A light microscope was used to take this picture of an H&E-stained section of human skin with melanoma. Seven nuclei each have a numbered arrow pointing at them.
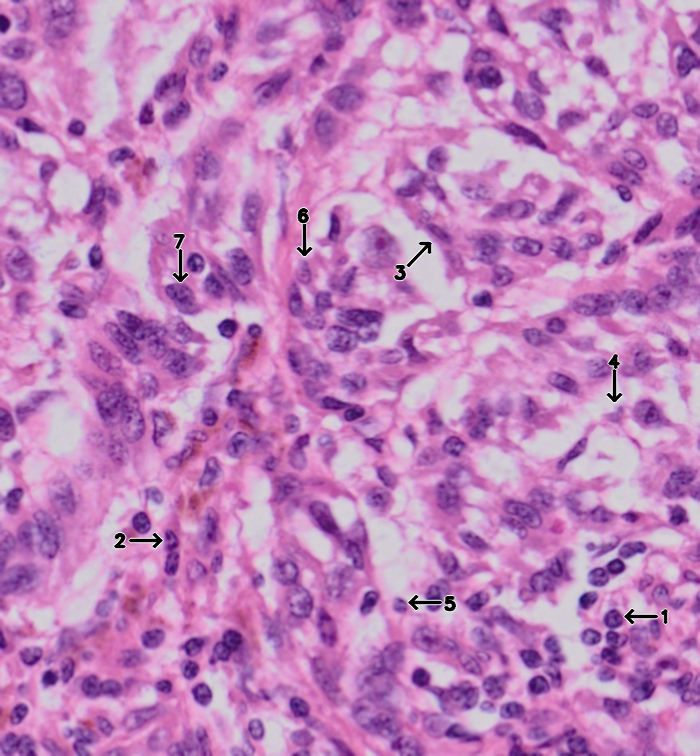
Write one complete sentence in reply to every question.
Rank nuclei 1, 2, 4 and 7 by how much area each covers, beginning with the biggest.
The nuclei rank 7, 1, 2, 4, from largest to smallest.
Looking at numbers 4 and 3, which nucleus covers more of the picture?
Of the two, number 3 is bigger and takes up about 1.5 times the area of number 4.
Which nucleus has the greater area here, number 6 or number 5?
Of the two, number 6 is bigger and takes up about 1.5 times the area of number 5.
